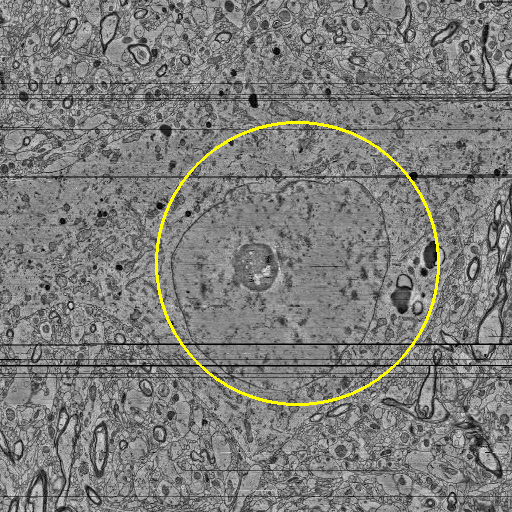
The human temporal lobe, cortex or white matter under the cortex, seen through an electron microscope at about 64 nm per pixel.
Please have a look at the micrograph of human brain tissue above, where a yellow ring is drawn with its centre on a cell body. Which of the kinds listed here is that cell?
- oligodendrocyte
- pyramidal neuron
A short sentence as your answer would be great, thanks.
At the centre of the ring sits a pyramidal neuron.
